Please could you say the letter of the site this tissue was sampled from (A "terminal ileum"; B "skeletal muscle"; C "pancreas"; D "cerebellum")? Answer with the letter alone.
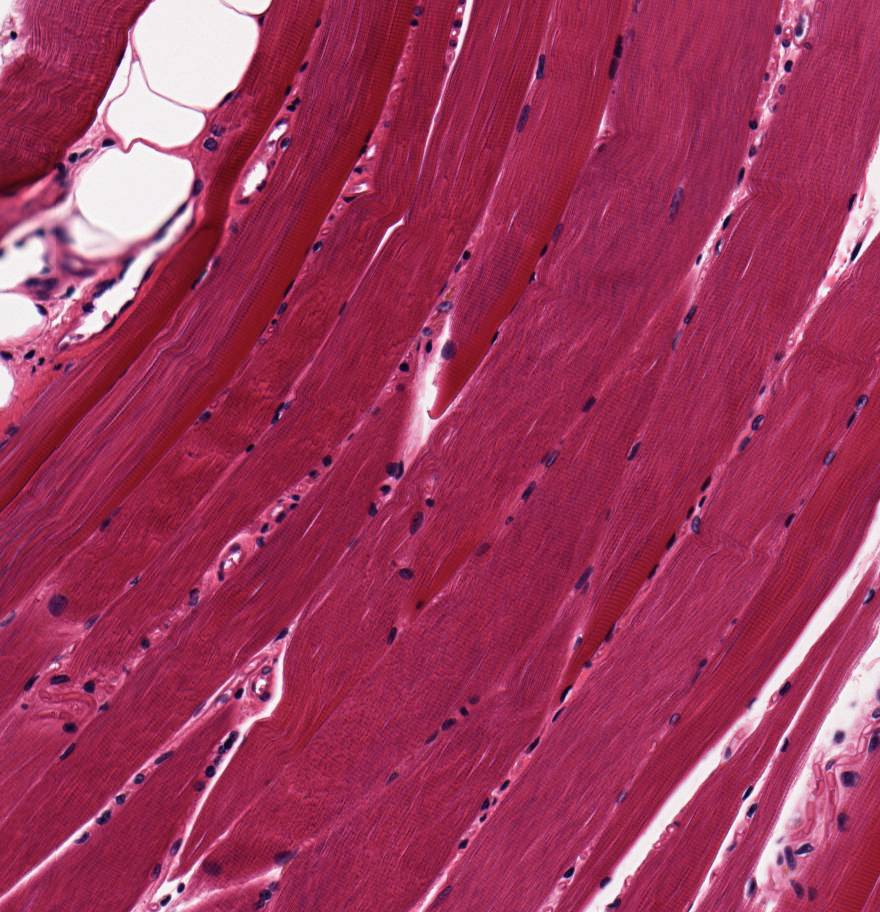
B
